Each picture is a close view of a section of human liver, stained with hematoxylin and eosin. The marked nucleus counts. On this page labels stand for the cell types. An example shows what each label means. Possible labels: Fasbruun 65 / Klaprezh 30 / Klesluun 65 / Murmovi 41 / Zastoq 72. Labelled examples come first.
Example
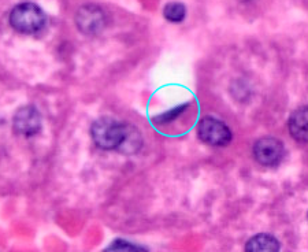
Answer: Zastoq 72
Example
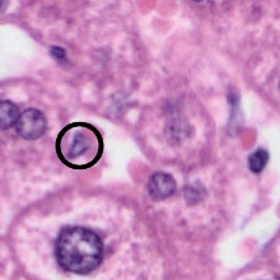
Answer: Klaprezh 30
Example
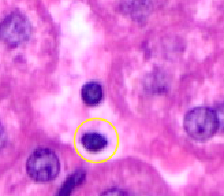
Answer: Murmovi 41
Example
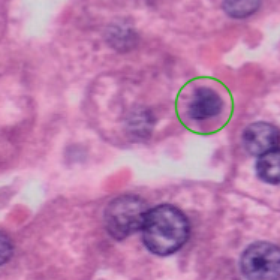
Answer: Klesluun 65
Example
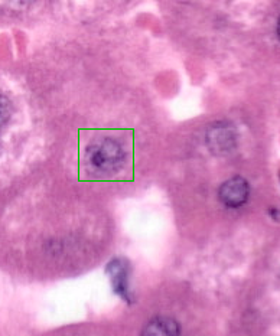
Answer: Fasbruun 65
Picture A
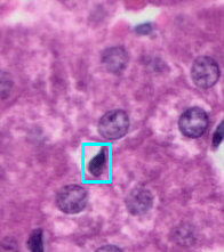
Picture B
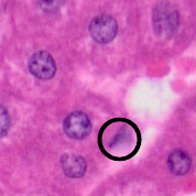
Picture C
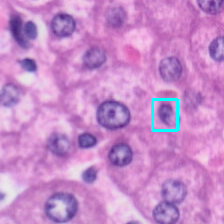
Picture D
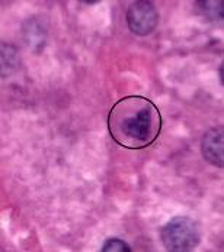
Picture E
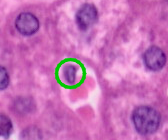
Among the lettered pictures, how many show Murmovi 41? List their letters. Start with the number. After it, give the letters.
0, none of them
